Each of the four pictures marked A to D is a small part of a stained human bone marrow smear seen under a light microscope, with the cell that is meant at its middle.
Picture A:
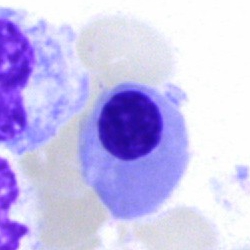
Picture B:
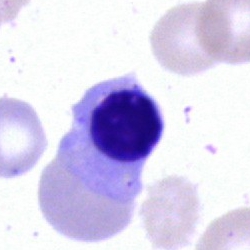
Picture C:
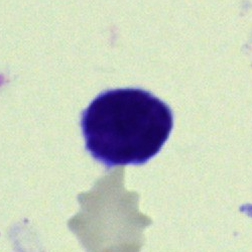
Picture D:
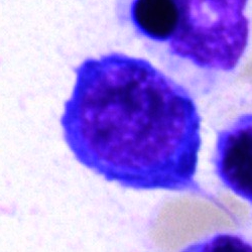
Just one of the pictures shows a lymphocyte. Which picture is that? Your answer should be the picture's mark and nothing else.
C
